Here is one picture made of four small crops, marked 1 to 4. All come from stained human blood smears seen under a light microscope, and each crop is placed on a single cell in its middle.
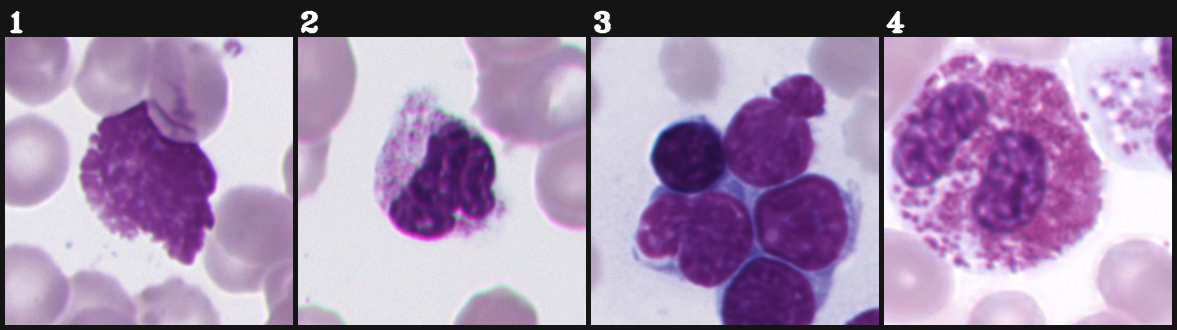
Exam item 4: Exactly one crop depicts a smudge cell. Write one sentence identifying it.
Among these crops, crop 1 holds a smudge cell.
